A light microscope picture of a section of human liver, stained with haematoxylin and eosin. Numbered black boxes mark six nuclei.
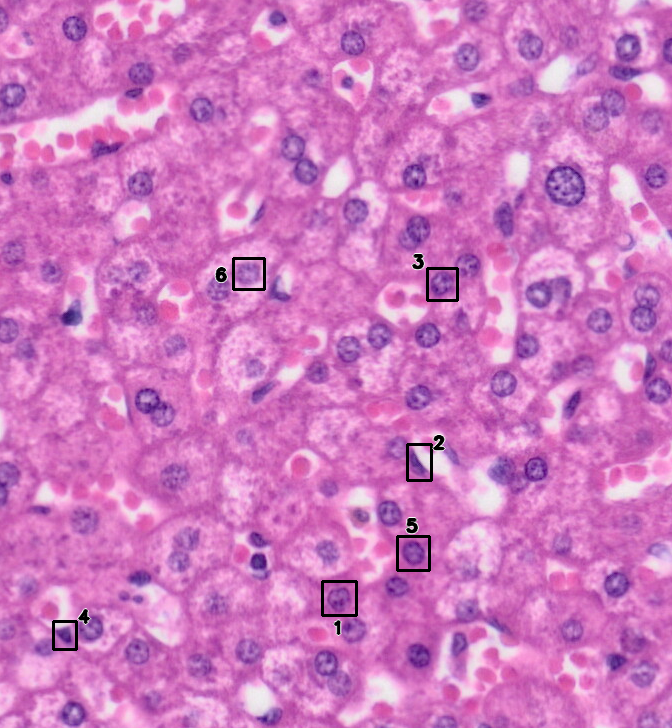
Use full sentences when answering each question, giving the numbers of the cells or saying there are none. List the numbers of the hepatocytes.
The cells which carry the numbers 1, 3, 5 and 6 are hepatocytes.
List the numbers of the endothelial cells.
Unlike the other numbered cells, cell 2 is an endothelial cell.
